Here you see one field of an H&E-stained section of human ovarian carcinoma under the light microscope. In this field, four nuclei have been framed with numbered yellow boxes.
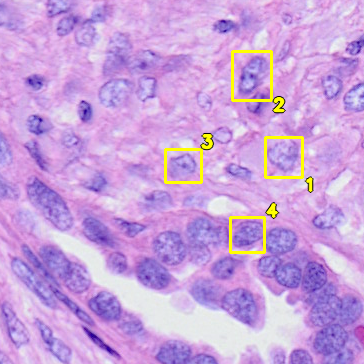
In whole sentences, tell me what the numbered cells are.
Cell 1 is a fibroblast, cell 2 is a fibroblast, cell 3 is a fibroblast and cell 4 is a carcinoma cell.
